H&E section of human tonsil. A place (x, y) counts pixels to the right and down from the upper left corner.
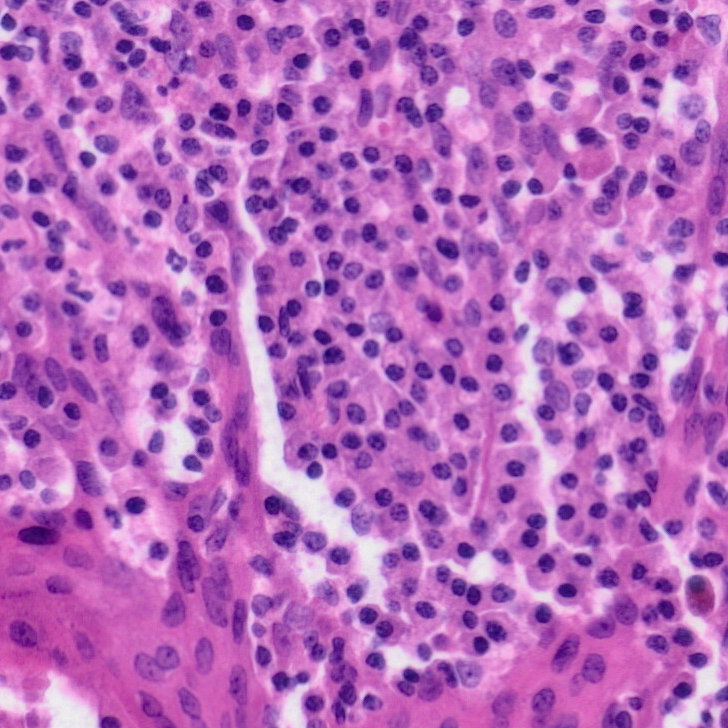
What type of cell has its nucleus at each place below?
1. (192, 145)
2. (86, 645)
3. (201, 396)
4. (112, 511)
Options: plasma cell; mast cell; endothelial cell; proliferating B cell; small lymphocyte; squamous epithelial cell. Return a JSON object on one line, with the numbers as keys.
{"1": "plasma cell", "2": "squamous epithelial cell", "3": "plasma cell", "4": "squamous epithelial cell"}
